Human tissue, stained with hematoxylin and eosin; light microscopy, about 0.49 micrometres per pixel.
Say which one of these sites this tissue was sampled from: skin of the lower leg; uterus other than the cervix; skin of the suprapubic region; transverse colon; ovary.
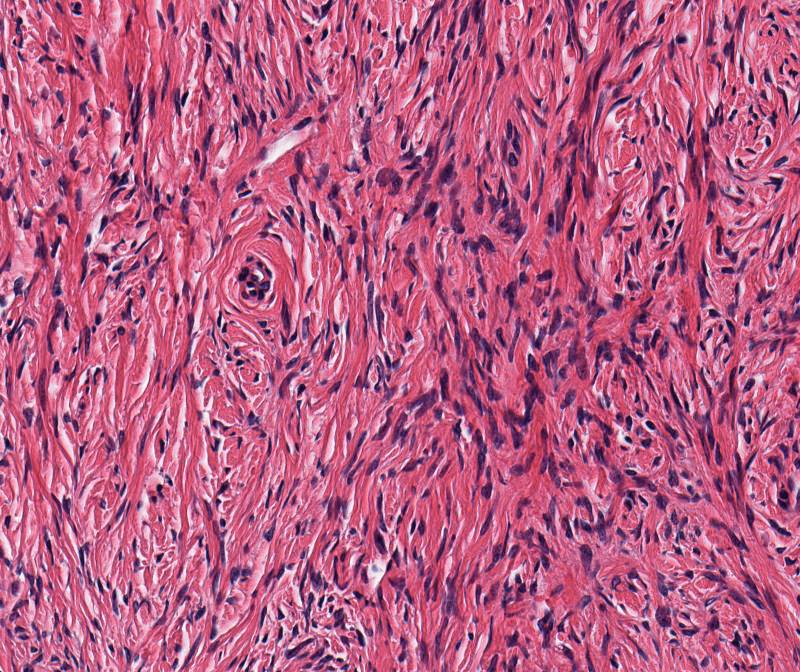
ovary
